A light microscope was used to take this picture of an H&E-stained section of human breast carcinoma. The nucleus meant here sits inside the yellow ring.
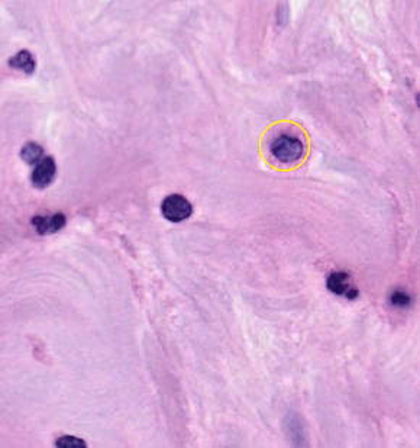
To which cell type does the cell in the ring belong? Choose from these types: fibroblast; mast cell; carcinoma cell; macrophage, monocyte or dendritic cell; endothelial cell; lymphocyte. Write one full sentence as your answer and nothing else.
Students should answer that the cell in the ring is a mast cell.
